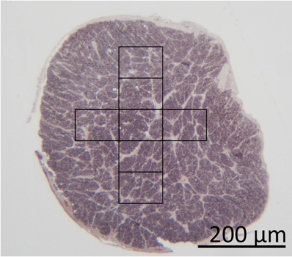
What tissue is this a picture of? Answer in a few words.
Optic nerve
